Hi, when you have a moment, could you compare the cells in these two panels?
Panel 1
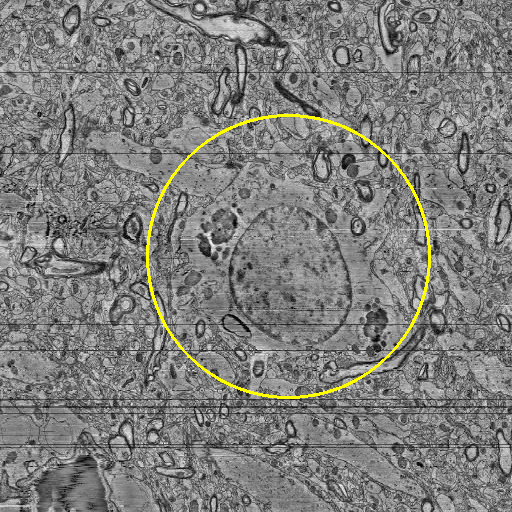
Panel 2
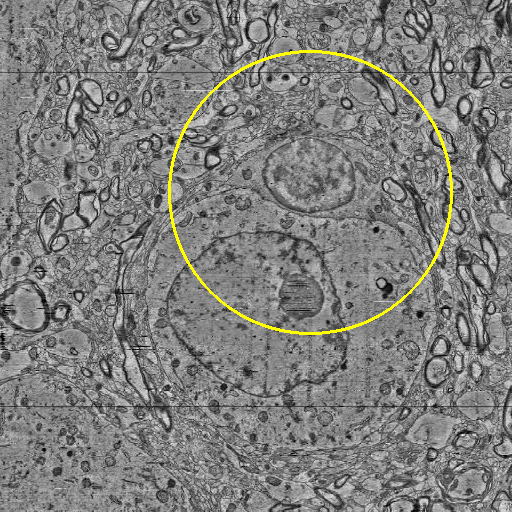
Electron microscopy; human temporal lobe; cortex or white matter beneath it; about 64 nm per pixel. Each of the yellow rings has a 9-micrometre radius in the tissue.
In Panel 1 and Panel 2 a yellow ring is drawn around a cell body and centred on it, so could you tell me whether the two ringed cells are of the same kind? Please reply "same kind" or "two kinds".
two kinds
